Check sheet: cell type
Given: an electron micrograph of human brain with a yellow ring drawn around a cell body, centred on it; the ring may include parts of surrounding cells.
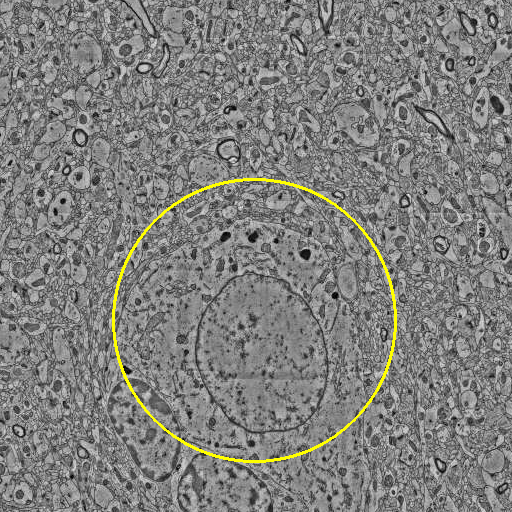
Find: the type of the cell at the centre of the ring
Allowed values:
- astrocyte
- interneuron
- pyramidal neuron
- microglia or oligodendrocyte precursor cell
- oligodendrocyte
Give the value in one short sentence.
Here the ringed cell is a pyramidal neuron.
